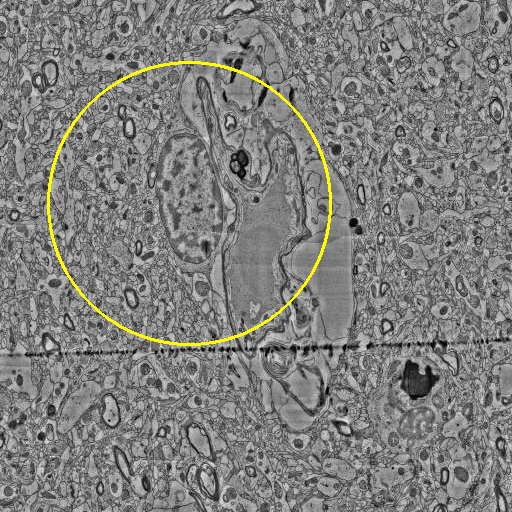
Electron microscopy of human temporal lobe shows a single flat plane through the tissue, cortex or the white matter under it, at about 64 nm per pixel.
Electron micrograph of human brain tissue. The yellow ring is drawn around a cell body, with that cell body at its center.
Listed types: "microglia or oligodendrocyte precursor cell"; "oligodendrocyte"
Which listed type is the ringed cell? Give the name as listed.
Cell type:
oligodendrocyte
